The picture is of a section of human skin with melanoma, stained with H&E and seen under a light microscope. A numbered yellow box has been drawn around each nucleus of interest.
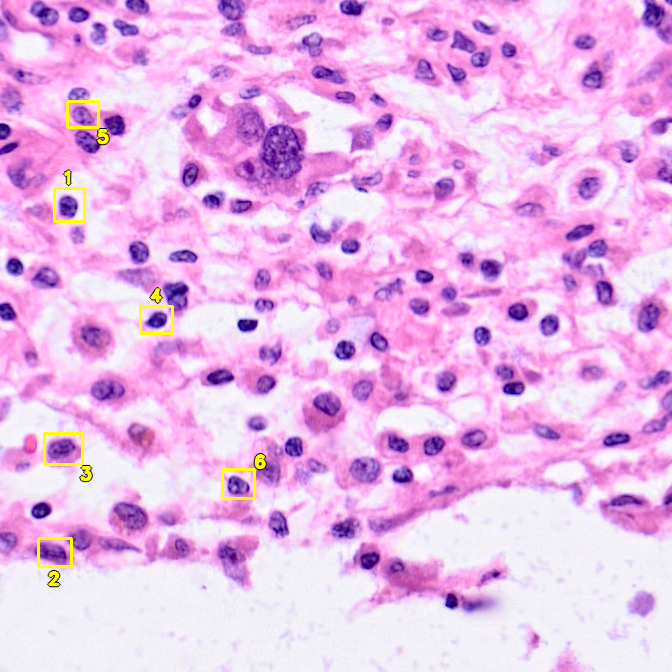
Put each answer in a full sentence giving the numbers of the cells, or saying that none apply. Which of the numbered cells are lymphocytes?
The numbers 1, 4 and 6 refer to cells that are lymphocytes.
